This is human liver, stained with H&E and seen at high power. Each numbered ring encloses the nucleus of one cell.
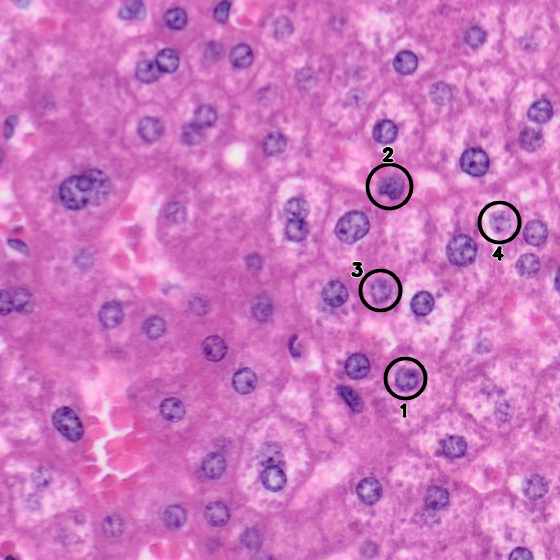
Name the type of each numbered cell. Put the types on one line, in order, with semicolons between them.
hepatocyte; endothelial cell; hepatocyte; hepatocyte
